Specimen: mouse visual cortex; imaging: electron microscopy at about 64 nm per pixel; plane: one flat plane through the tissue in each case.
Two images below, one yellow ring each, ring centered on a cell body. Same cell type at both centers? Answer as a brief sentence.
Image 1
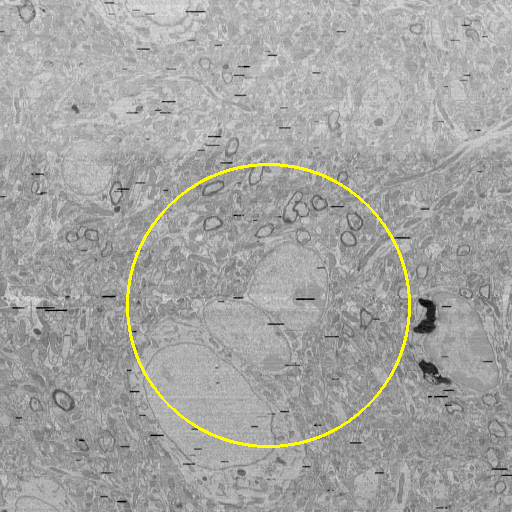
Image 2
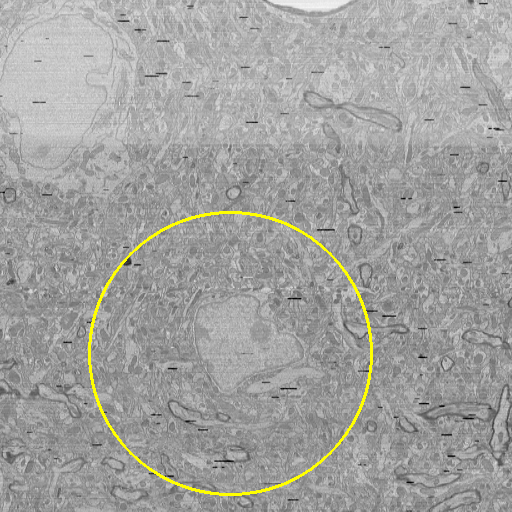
Yes, both cells are of the same type.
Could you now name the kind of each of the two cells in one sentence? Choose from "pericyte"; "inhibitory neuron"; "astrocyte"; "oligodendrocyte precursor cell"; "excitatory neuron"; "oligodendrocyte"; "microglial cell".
Each cell, in the first picture and the second, is an oligodendrocyte precursor cell.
